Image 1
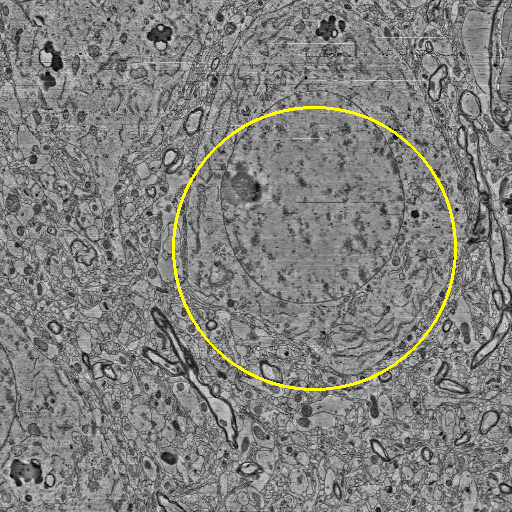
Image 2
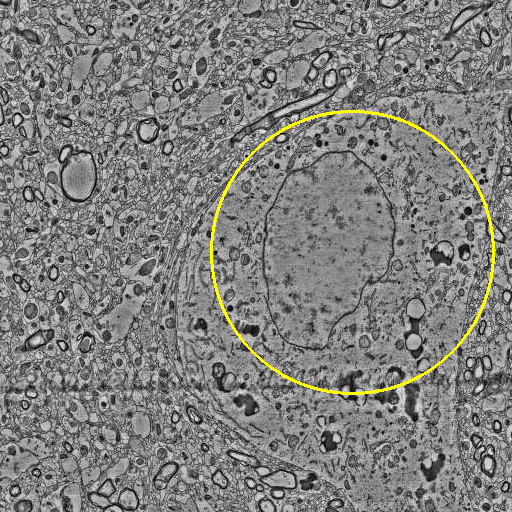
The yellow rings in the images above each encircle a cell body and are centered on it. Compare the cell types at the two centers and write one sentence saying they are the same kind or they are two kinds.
Taken together, the two cells at the ring centers are the same kind.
